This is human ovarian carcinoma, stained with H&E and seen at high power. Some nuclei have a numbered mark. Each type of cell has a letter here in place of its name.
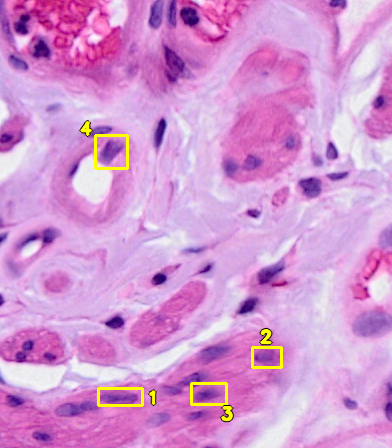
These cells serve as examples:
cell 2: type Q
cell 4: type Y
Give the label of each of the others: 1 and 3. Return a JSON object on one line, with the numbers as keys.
{"1": "type Q", "3": "type Q"}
